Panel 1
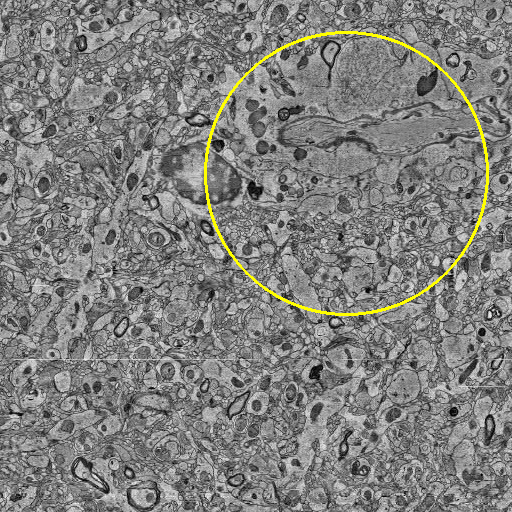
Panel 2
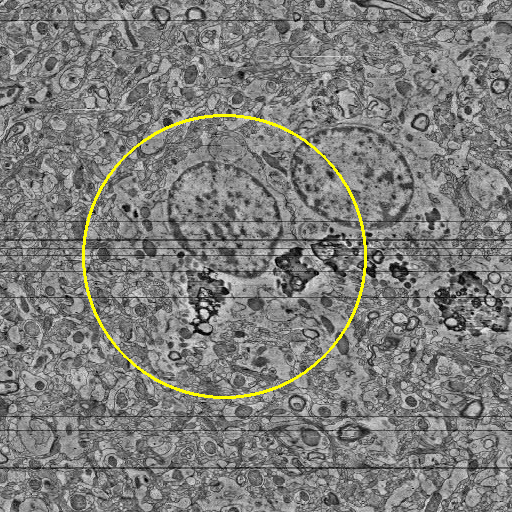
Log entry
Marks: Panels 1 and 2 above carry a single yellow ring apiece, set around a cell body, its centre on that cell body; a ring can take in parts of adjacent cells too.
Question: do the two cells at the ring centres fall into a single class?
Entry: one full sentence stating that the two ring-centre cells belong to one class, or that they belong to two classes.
The two ring-centre cells in Panels 1 and 2 belong to two classes.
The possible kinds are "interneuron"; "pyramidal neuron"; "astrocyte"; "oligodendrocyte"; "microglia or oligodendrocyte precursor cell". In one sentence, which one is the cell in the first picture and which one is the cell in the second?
The cell ringed in the second picture is an astrocyte, whereas the one ringed in the first is a microglial cell or oligodendrocyte precursor cell.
